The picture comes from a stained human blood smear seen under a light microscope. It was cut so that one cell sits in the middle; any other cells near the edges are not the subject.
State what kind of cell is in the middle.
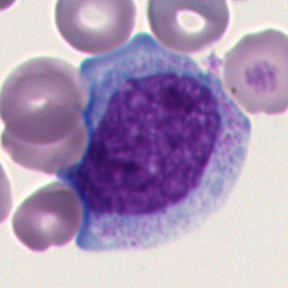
promyelocyte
